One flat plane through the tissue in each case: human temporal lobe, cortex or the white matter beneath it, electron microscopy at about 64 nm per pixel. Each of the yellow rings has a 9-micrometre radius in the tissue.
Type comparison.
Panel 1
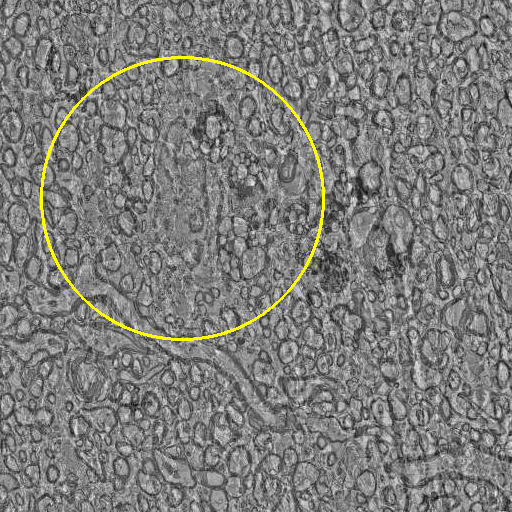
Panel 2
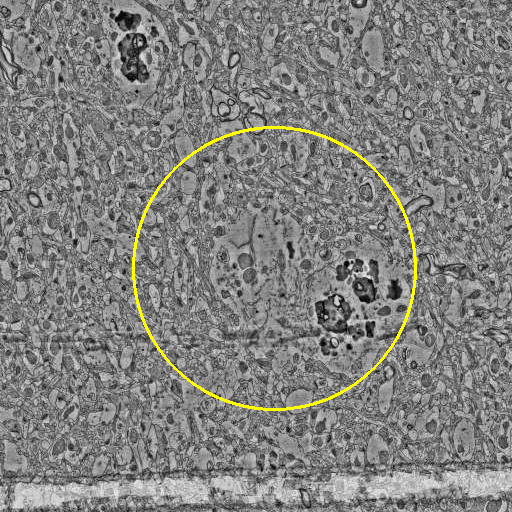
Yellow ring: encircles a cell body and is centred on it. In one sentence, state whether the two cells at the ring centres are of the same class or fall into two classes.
In these panels, the two cells at the ring centres are of the same class.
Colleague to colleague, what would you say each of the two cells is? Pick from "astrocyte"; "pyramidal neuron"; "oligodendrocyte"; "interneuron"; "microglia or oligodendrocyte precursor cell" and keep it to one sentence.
Each of the two rings surrounds an astrocyte.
